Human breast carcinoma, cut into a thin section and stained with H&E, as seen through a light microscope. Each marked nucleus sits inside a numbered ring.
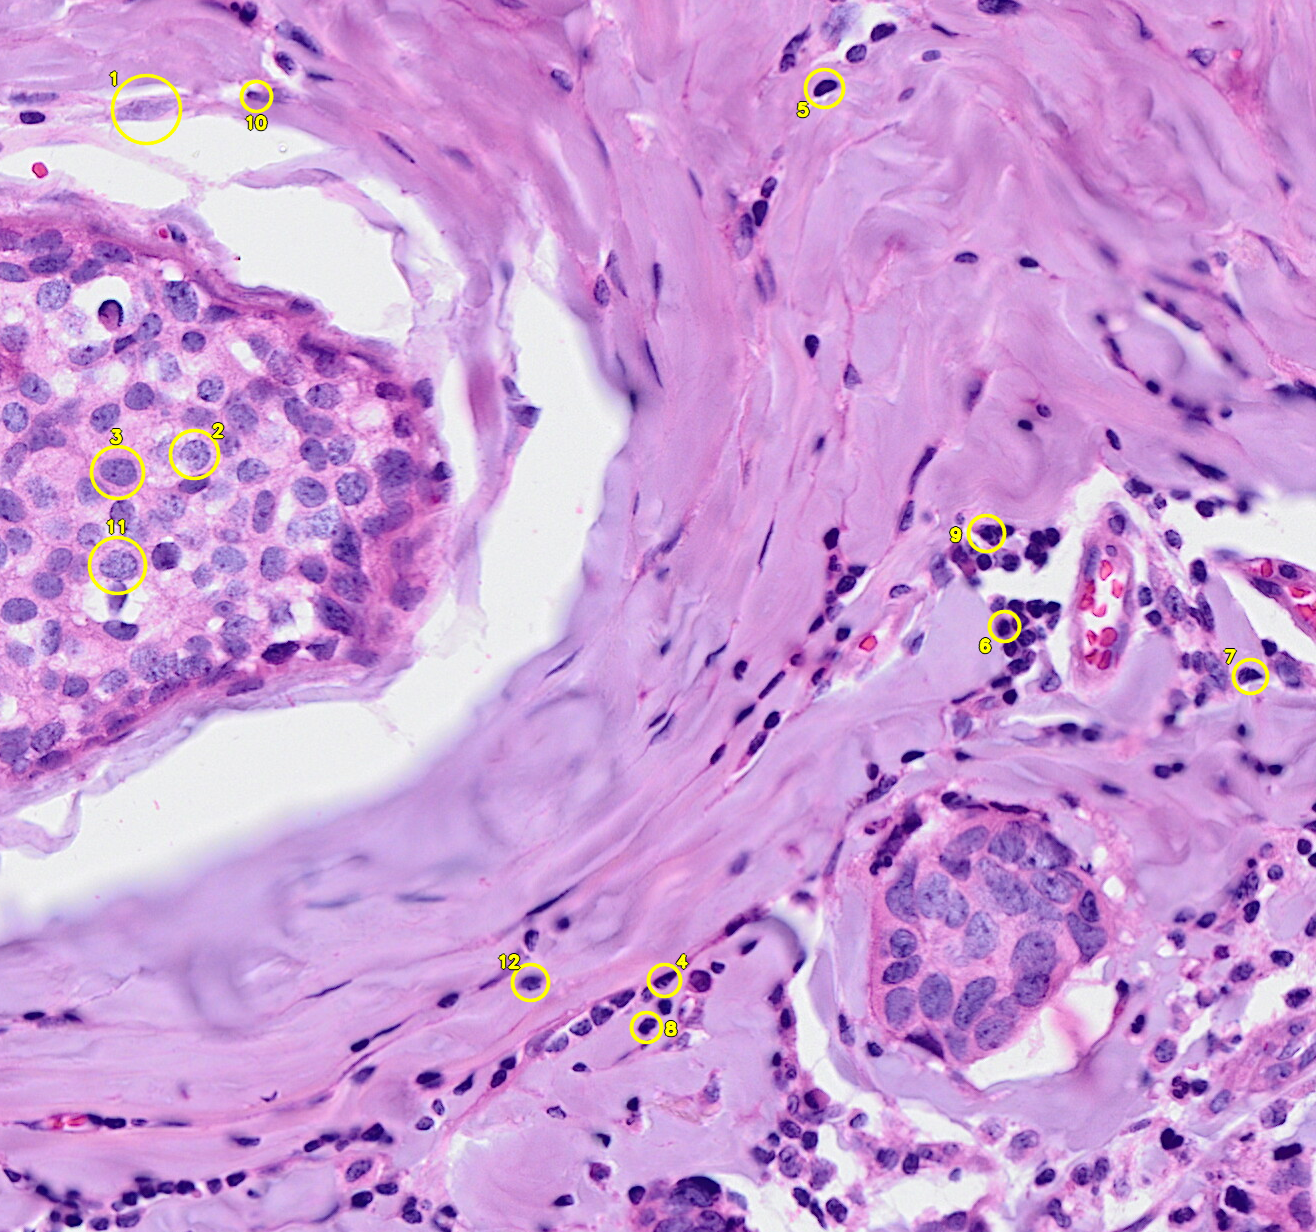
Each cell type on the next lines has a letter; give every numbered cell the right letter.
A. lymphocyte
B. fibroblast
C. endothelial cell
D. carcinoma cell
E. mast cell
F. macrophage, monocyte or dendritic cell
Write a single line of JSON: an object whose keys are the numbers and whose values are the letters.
{"1": "B", "2": "D", "3": "D", "4": "A", "5": "A", "6": "A", "7": "A", "8": "A", "9": "A", "10": "B", "11": "D", "12": "A"}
